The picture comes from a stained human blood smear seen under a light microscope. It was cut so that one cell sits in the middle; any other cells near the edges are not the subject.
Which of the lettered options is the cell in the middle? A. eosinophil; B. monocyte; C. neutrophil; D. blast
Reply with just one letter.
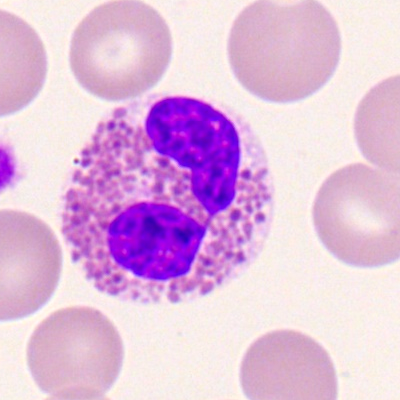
A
